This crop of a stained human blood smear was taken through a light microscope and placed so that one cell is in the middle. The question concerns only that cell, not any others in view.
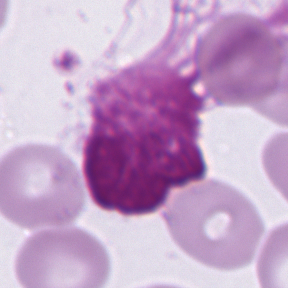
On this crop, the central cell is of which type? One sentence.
The cell centered in this field of view is a smudge cell.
